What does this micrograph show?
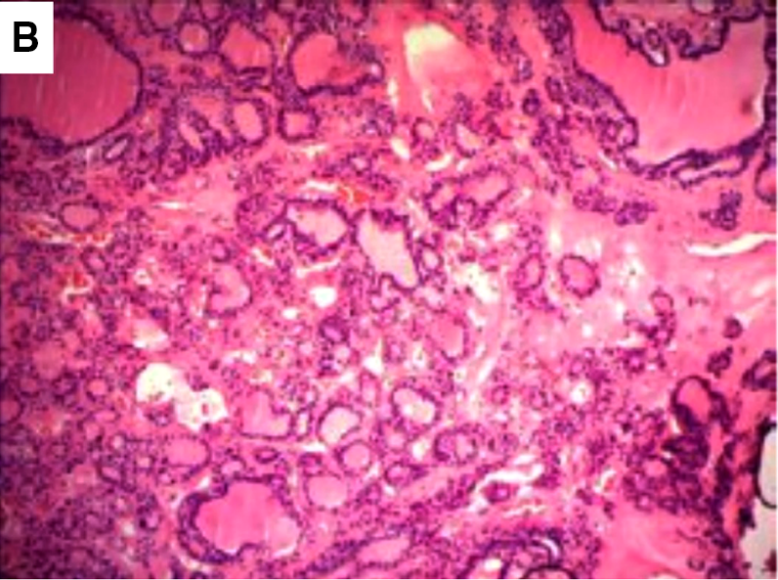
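This is thyroid tissue made of many round follicles, each lined by a single layer of small cuboidal follicular epithelial cells with dark nuclei around pink colloid. The follicles range from small and crowded to large and dilated. In places, the lining folds into small papillary projections that extend into the lumina.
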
